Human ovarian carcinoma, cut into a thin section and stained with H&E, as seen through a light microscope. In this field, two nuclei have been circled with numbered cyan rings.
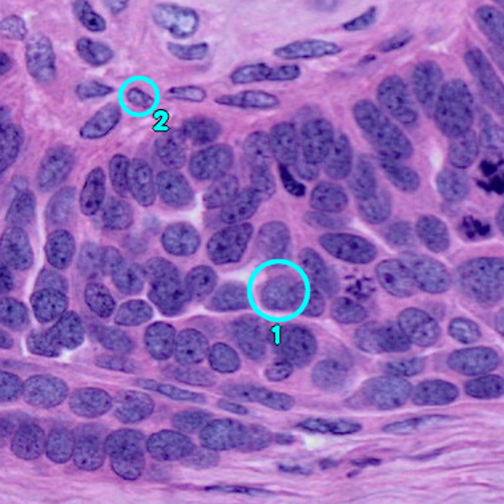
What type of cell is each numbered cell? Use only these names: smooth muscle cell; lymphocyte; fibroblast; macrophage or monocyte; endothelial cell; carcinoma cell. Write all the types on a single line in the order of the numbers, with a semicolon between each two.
carcinoma cell; fibroblast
